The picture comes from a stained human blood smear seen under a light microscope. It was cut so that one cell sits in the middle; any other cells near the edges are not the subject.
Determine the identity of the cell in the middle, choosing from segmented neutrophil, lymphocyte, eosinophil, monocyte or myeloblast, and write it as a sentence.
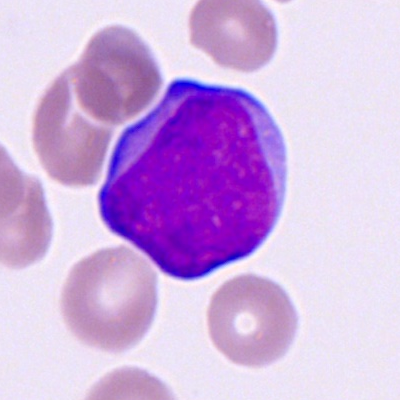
The cell marked by its central position in the crop is a myeloblast.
